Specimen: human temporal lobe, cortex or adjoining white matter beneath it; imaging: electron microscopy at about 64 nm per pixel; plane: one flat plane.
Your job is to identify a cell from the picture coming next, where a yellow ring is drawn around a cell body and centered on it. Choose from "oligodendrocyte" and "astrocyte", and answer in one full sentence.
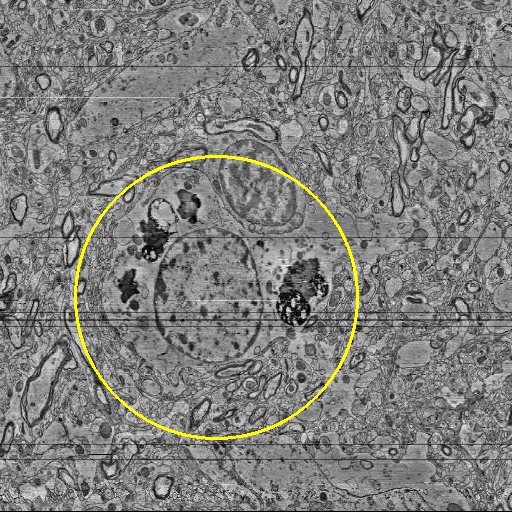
Centered in the yellow ring of the picture is the body of an astrocyte.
